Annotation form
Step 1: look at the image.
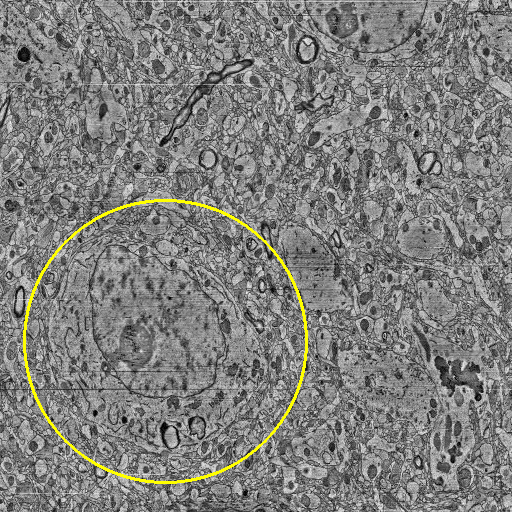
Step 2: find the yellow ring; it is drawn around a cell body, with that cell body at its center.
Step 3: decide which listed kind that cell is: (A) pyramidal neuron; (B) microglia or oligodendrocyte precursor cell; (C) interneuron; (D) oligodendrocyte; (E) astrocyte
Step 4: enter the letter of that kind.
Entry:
A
